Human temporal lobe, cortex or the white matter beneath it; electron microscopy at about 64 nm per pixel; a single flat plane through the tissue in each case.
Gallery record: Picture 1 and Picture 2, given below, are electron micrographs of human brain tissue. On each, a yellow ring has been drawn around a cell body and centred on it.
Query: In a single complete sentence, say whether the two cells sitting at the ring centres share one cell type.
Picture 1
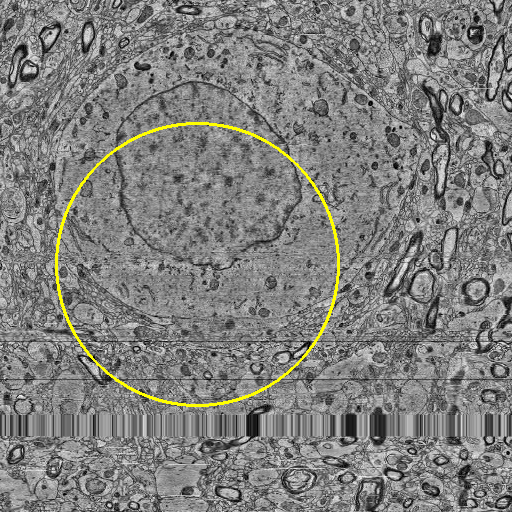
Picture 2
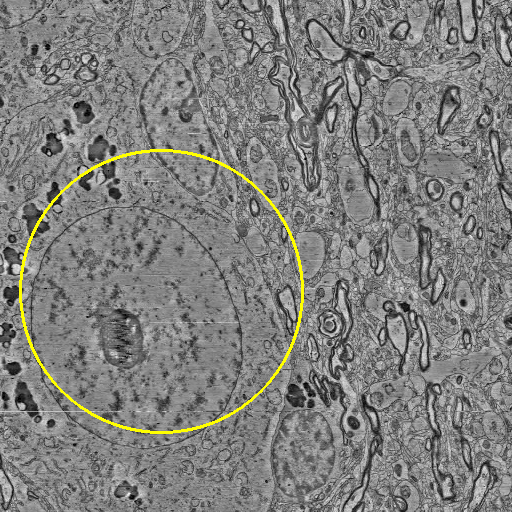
Yes, in both pictures the cell at the ring's centre is of one and the same type.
